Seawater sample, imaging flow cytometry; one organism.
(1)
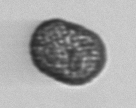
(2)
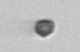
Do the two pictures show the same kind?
No: Umbilicosphaera sibogae, then Gephyrocapsa huxleyi.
